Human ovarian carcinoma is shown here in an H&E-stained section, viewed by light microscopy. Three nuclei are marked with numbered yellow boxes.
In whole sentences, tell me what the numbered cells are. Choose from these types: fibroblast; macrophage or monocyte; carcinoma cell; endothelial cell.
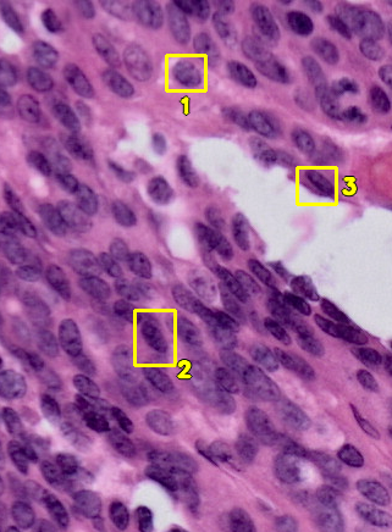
Cell 1 is a macrophage or monocyte. Cells 2 and 3 are carcinoma cells.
